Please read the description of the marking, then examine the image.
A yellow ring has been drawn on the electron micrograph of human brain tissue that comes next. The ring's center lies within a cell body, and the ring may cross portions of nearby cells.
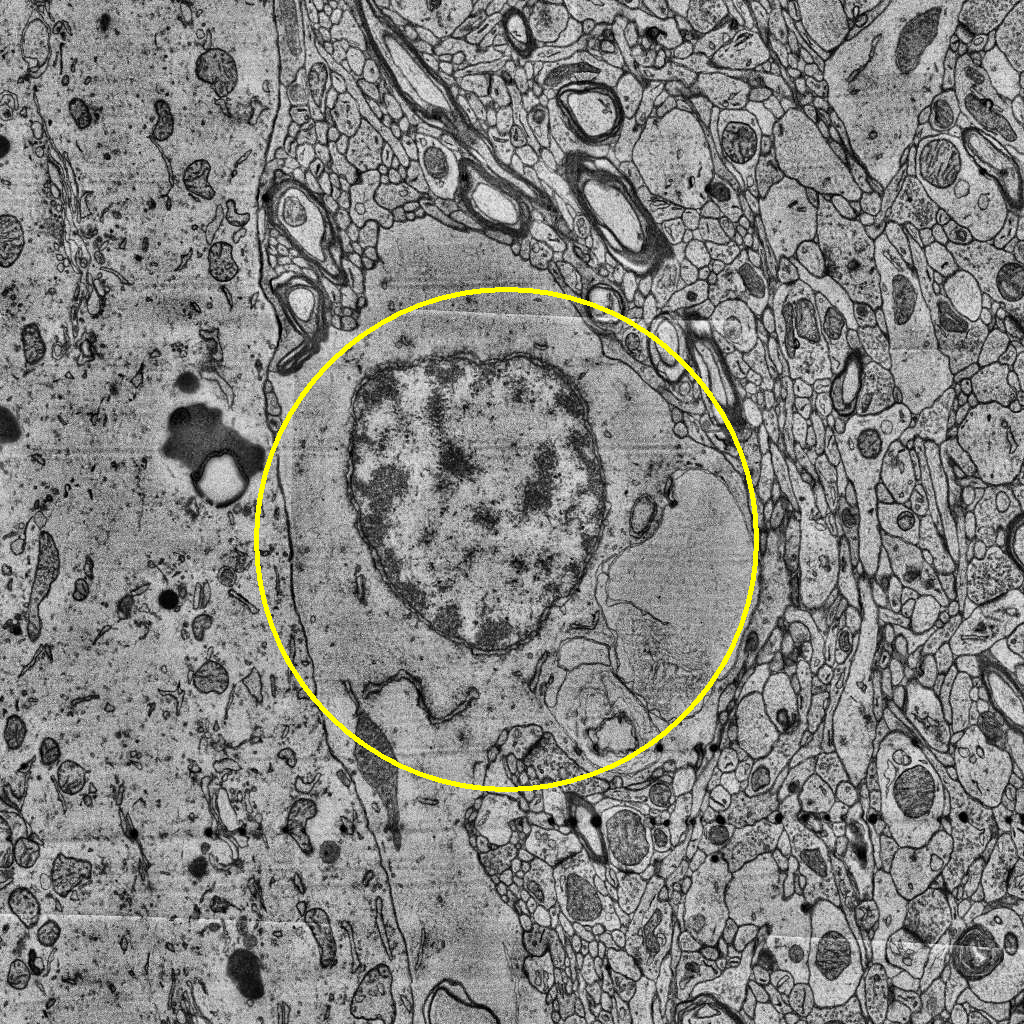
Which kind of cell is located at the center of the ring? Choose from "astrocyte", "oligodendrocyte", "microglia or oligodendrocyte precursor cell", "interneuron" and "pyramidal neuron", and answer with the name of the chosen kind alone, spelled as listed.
astrocyte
